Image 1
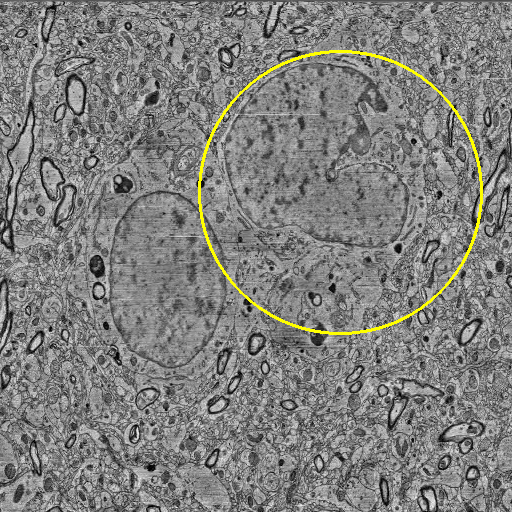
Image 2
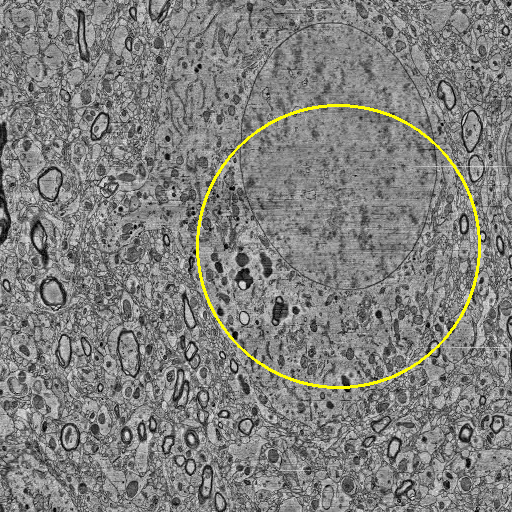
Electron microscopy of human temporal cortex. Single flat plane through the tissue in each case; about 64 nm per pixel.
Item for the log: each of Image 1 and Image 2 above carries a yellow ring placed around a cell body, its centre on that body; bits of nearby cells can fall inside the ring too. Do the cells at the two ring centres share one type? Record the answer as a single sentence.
No, the two cells at the ring centres in Image 1 and Image 2 are of two types.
